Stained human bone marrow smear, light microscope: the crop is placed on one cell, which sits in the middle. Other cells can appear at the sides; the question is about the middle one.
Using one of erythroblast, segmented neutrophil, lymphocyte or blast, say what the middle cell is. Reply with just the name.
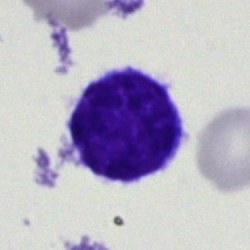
lymphocyte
